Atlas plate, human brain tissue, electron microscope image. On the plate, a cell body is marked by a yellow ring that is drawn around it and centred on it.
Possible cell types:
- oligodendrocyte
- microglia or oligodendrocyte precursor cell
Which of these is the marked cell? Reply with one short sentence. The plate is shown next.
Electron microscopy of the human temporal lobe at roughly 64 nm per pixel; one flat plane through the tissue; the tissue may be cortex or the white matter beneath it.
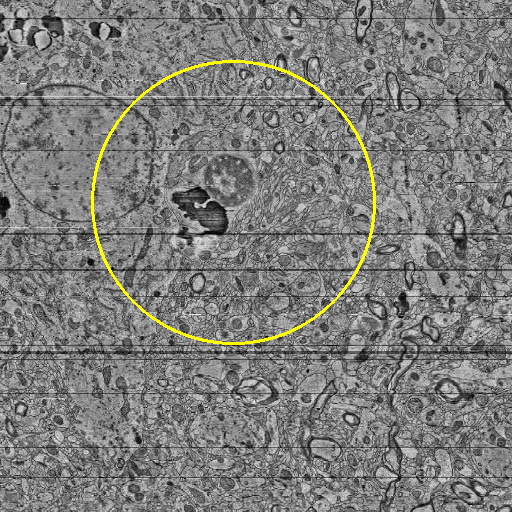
The marked cell is an oligodendrocyte.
